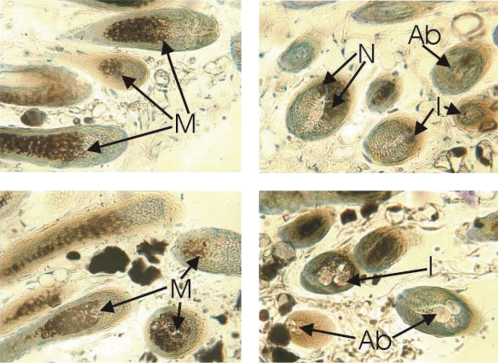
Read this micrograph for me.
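These are anagen hair follicles cut through the bulb region, shown as rounded and elongated epithelial profiles lying in loose dermal connective tissue. In the left-hand images the bulbs are crowded with dark brown melanin granules held in melanocytes, so that the follicle core appears heavily pigmented. In the right-hand images the bulbs carry far less pigment; some pigment cells look normal, while others are pale and clear-looking with little or no melanin.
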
